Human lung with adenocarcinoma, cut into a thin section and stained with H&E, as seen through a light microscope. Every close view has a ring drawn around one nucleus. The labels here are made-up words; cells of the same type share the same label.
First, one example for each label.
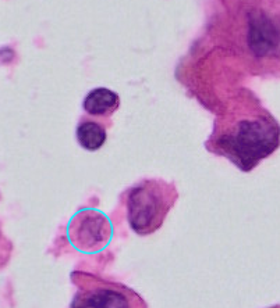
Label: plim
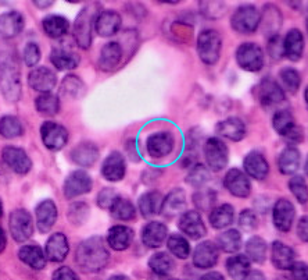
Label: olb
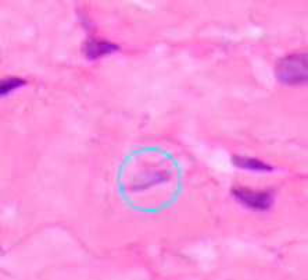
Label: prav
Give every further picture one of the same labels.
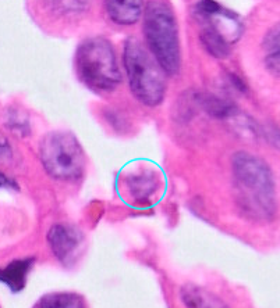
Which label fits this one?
plim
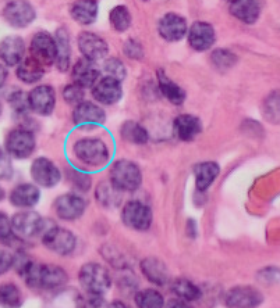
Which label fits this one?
olb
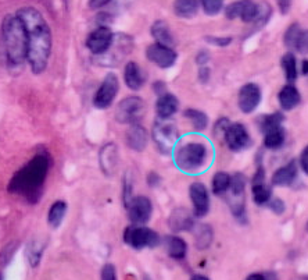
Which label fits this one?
olb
